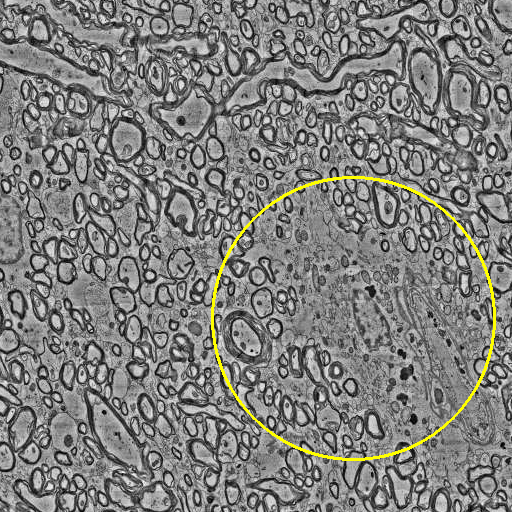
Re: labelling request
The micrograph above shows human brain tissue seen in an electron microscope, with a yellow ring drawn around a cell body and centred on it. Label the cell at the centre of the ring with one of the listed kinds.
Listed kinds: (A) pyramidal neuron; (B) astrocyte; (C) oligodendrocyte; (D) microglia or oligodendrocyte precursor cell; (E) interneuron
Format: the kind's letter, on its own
B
